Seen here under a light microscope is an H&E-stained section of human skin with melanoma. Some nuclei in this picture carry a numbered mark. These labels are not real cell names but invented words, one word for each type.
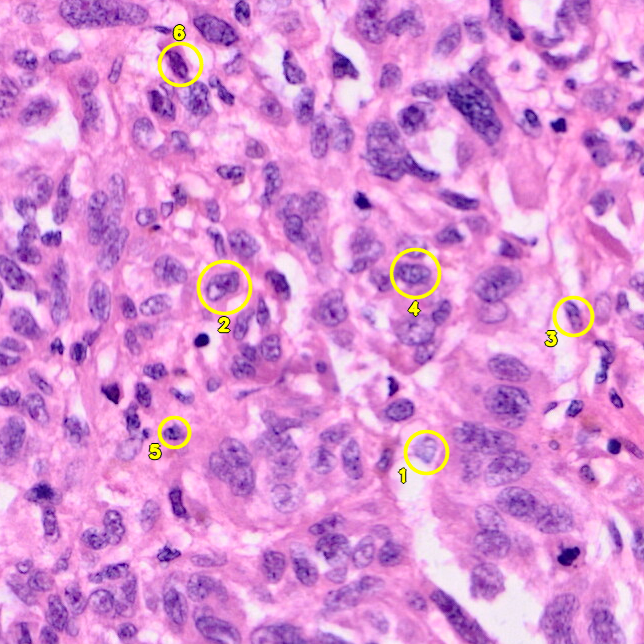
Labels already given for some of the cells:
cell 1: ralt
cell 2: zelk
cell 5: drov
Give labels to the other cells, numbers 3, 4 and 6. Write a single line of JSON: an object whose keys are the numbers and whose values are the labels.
{"3": "ralt", "4": "zelk", "6": "zelk"}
